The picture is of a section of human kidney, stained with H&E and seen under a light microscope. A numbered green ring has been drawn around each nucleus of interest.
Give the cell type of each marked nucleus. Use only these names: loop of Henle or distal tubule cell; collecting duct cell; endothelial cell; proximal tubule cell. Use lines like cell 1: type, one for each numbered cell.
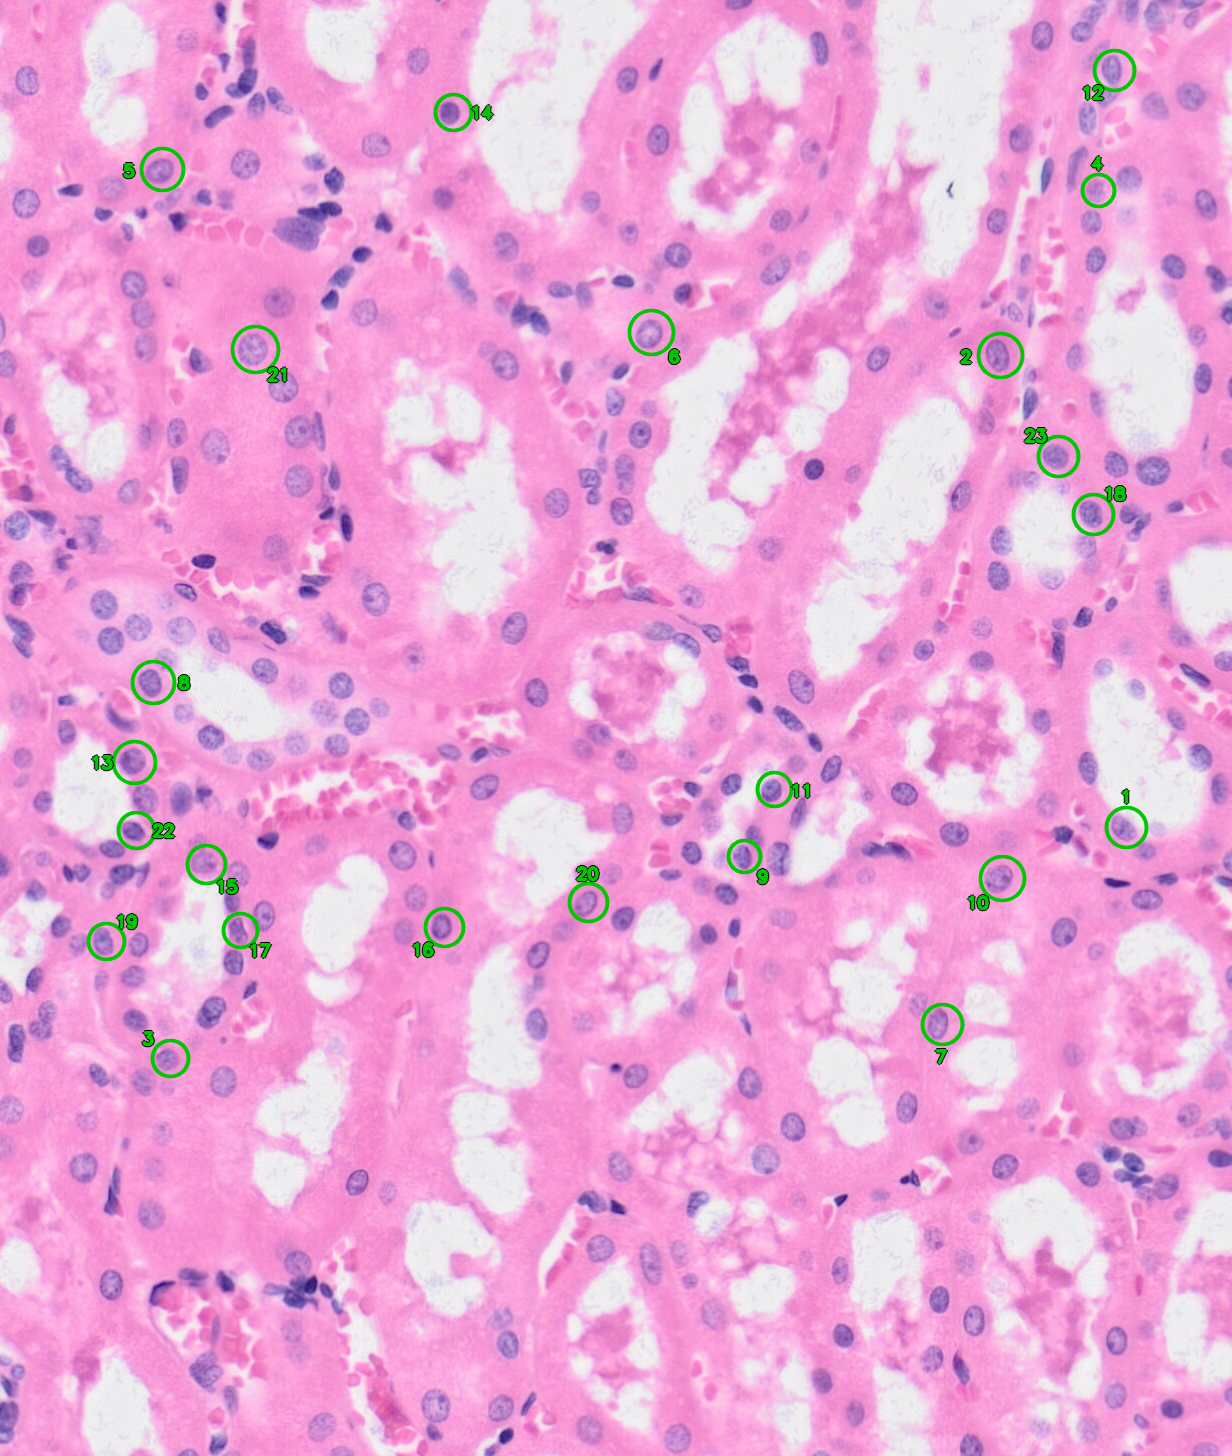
cell 1: loop of Henle or distal tubule cell
cell 2: proximal tubule cell
cell 3: loop of Henle or distal tubule cell
cell 4: loop of Henle or distal tubule cell
cell 5: proximal tubule cell
cell 6: proximal tubule cell
cell 7: proximal tubule cell
cell 8: collecting duct cell
cell 9: loop of Henle or distal tubule cell
cell 10: proximal tubule cell
cell 11: loop of Henle or distal tubule cell
cell 12: collecting duct cell
cell 13: loop of Henle or distal tubule cell
cell 14: proximal tubule cell
cell 15: loop of Henle or distal tubule cell
cell 16: proximal tubule cell
cell 17: loop of Henle or distal tubule cell
cell 18: loop of Henle or distal tubule cell
cell 19: loop of Henle or distal tubule cell
cell 20: proximal tubule cell
cell 21: proximal tubule cell
cell 22: loop of Henle or distal tubule cell
cell 23: loop of Henle or distal tubule cell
